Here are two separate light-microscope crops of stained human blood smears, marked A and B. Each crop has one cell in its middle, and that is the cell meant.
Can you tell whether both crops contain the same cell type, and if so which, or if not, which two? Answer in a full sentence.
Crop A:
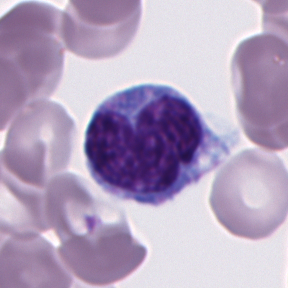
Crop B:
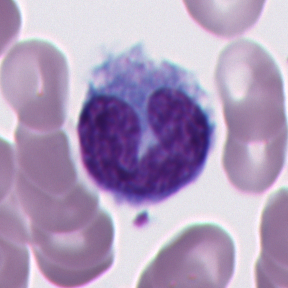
Yes, both of the crops show monocytes.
